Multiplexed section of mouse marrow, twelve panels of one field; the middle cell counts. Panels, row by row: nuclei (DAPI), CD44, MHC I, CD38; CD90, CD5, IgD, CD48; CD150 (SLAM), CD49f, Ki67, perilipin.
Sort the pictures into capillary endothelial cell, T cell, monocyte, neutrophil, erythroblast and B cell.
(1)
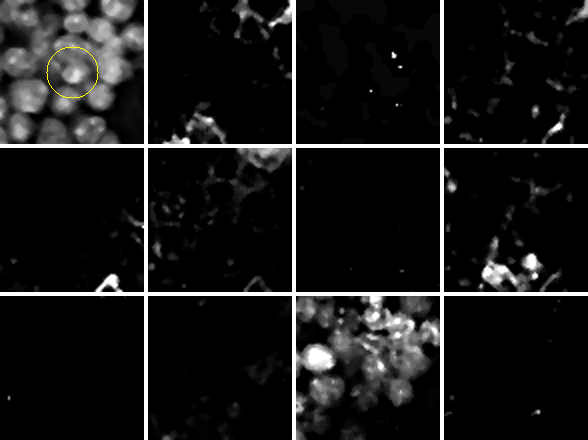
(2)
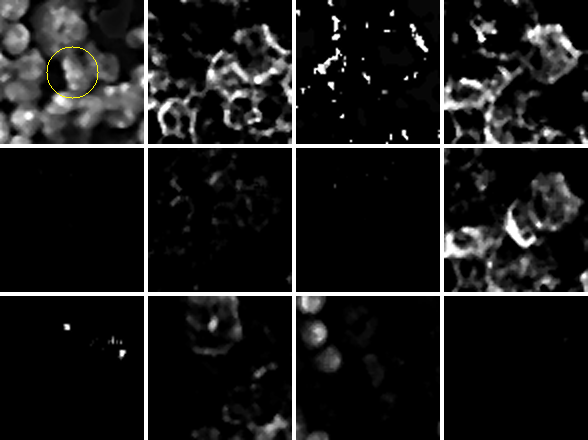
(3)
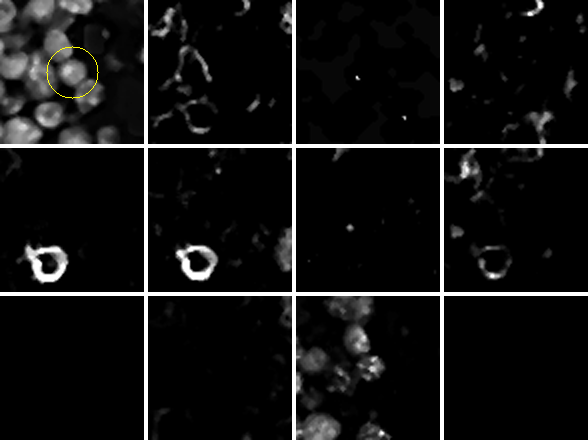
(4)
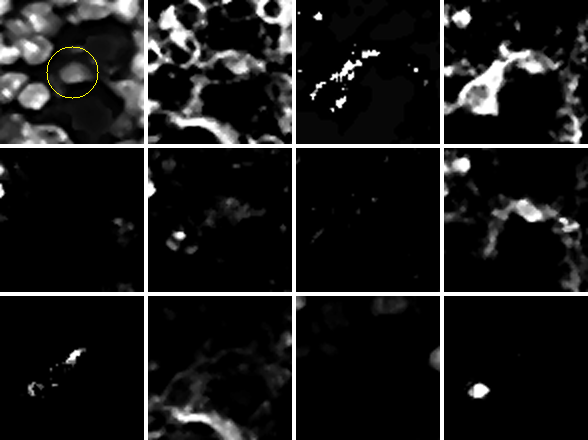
Erythroblasts: 1, 3
Capillary endothelial cells: 2
Monocytes: 4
